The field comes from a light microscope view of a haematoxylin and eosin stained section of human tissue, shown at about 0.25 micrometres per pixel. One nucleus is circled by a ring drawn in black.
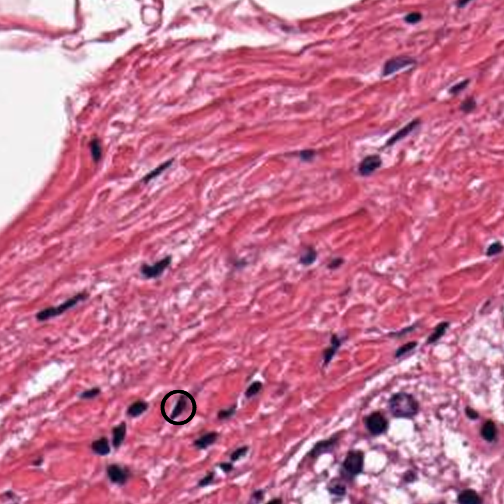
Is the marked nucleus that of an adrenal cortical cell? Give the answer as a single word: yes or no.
no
